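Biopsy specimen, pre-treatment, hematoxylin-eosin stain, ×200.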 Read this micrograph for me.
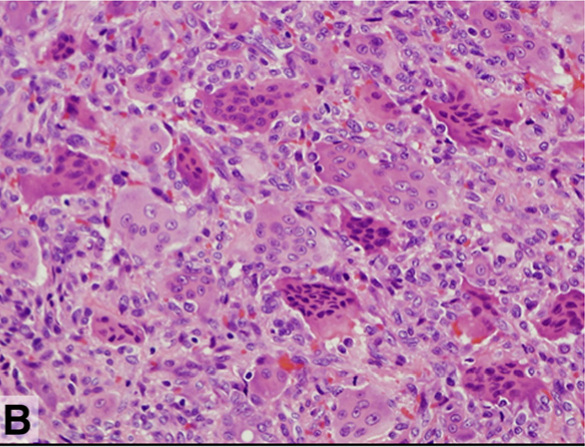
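Sheet of mononuclear stromal cells with evenly scattered osteoclast-like multinuclear giant cells. The giant cells are large and irregular, with abundant pink cytoplasm and many dark, oval nuclei crowded together, often toward one part of the cell. The stromal cells between them are much smaller and have single round to oval nuclei, some with visible nucleoli, and pale pink cytoplasm with indistinct borders. The stromal cells are packed diffusely, with no glands, layers or clear pattern. Small red blood cells lie in scattered spaces between the cells.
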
